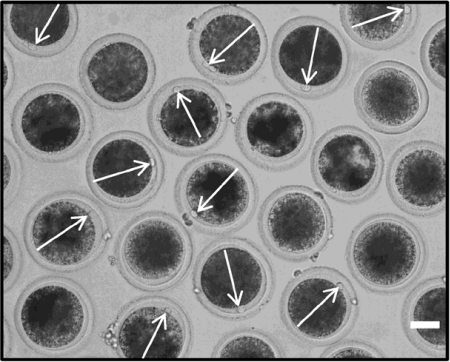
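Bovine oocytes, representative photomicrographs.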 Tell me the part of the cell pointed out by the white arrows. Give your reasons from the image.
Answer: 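Each arrow tip points to a small round body lying beside the large dark cell, inside the clear outer coat. The small bodies are far smaller than the large round cells. On this evidence: first polar bodies.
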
